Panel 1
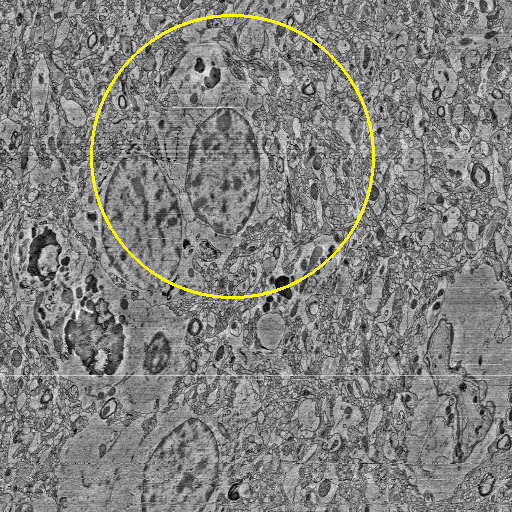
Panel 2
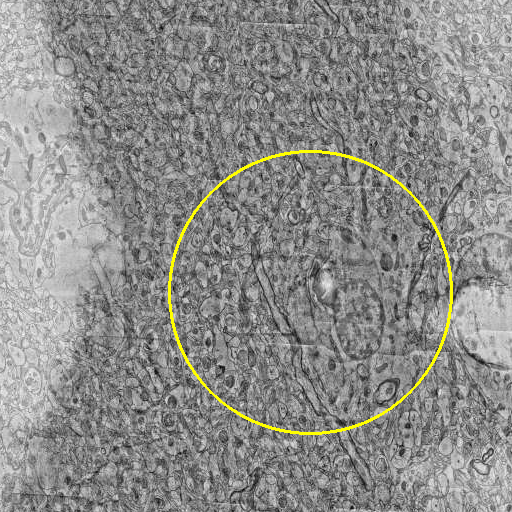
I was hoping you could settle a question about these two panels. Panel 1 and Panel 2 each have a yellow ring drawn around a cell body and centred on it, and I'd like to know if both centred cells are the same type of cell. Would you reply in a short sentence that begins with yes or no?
Yes, both are the same type of cell.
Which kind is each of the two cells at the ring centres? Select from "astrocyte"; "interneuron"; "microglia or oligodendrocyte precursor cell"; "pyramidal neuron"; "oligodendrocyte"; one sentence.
In each picture the ringed cell is an astrocyte.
